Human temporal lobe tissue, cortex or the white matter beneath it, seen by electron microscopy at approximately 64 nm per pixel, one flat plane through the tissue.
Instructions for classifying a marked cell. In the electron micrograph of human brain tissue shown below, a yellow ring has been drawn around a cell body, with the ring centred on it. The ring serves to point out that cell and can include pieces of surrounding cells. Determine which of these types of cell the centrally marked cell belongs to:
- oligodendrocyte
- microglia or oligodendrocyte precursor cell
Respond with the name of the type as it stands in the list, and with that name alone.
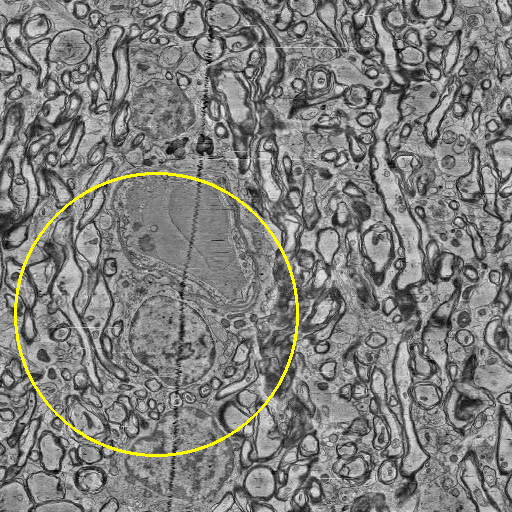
microglia or oligodendrocyte precursor cell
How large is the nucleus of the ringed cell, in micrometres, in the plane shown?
The nucleus appears roughly 6 by 5 micrometres in this plane.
